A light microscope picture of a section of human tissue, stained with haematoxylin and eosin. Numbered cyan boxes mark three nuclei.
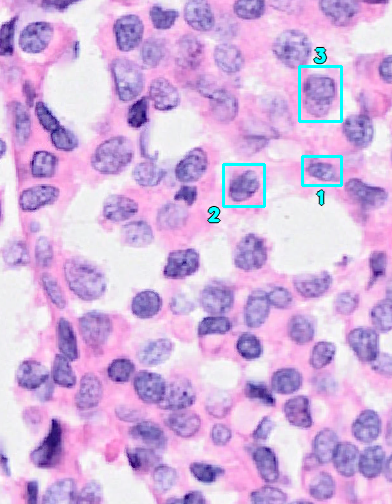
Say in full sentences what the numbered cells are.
Cell 1 is an endothelial cell, cell 2 is a carcinoma cell and cell 3 is a carcinoma cell.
